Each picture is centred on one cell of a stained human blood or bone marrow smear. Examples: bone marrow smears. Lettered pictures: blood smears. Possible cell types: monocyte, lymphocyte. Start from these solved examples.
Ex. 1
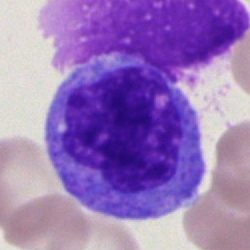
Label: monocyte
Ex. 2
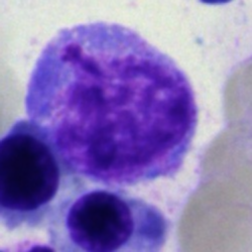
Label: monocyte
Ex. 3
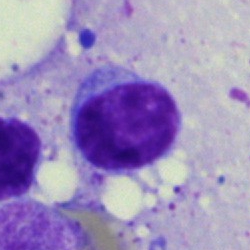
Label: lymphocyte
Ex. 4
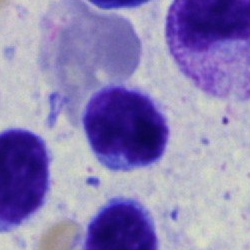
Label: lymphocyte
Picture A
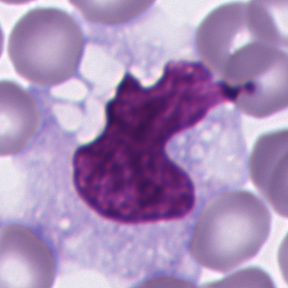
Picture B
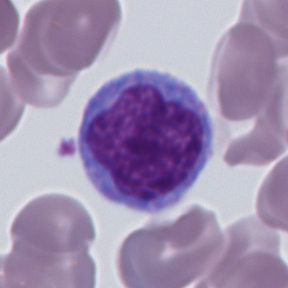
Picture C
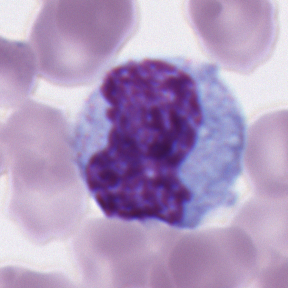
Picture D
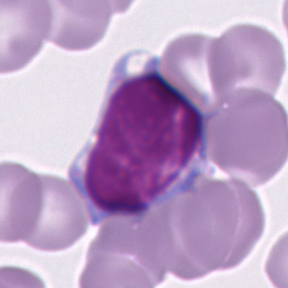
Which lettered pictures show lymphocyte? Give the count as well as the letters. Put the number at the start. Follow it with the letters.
Count: 1 (D)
